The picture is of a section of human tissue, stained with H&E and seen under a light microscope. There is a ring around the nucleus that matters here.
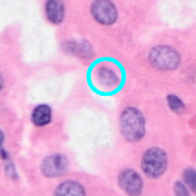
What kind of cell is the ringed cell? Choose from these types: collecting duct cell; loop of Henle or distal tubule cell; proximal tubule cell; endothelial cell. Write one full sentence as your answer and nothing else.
Right, so the ringed cell is a loop of Henle or distal tubule cell, to answer that.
